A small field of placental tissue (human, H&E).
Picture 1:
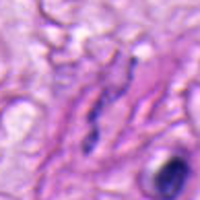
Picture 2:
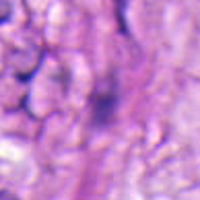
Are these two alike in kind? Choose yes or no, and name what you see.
Yes. Vascular myocytes.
